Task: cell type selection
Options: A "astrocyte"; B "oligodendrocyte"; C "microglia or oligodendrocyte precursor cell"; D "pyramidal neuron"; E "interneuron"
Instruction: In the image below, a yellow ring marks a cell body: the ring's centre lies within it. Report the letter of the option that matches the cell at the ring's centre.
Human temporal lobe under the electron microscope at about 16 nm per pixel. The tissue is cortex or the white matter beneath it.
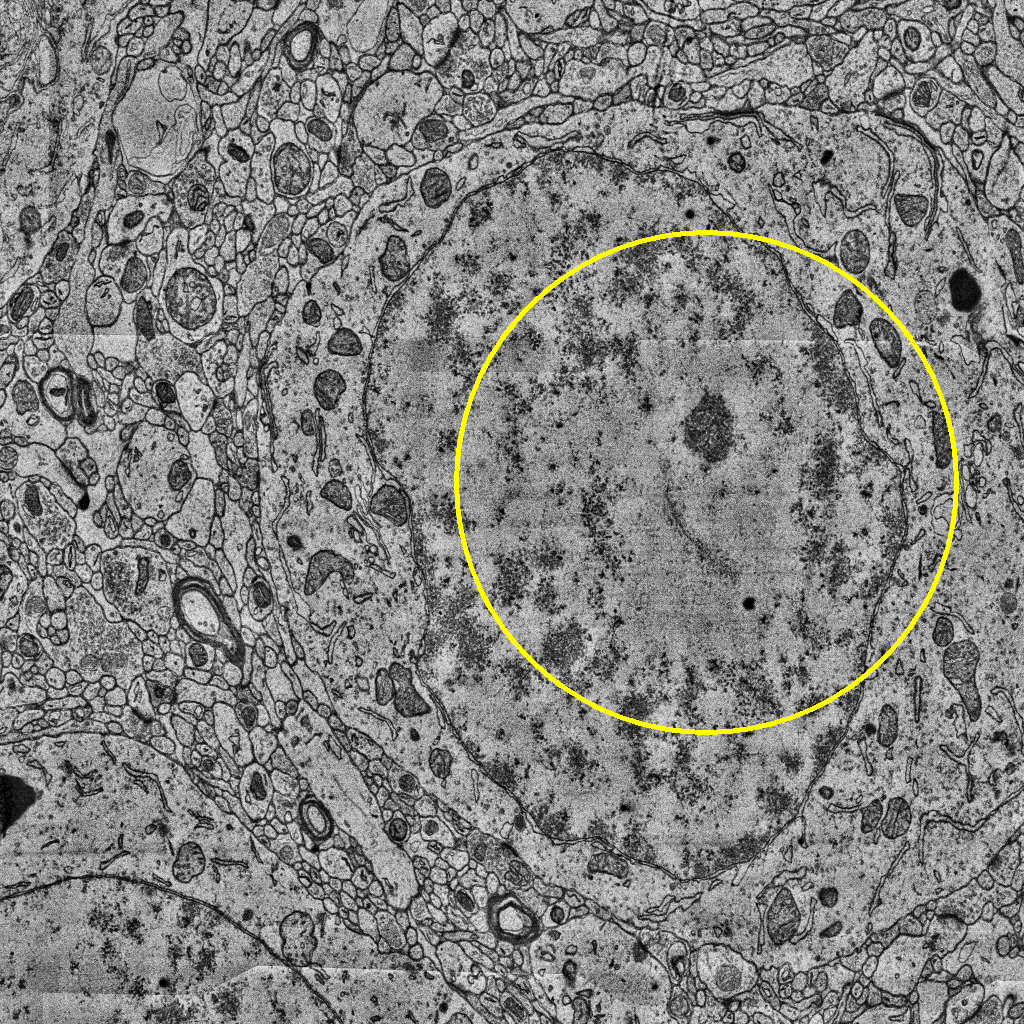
E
